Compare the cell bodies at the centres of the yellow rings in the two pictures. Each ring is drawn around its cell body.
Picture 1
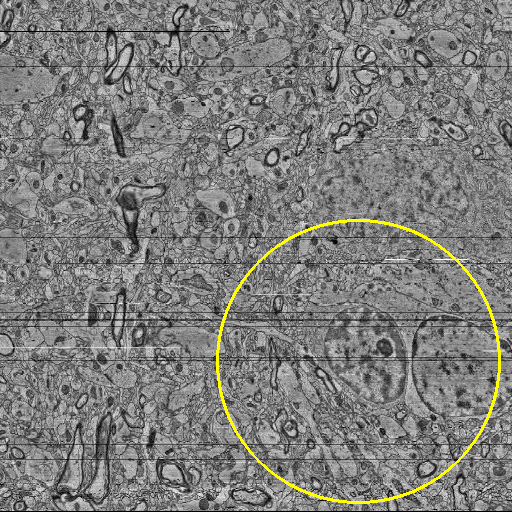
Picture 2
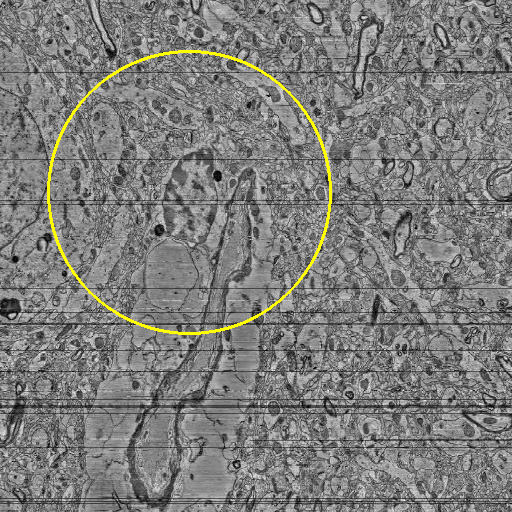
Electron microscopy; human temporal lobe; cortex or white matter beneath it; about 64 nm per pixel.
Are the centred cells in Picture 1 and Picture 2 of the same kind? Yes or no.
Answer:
no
